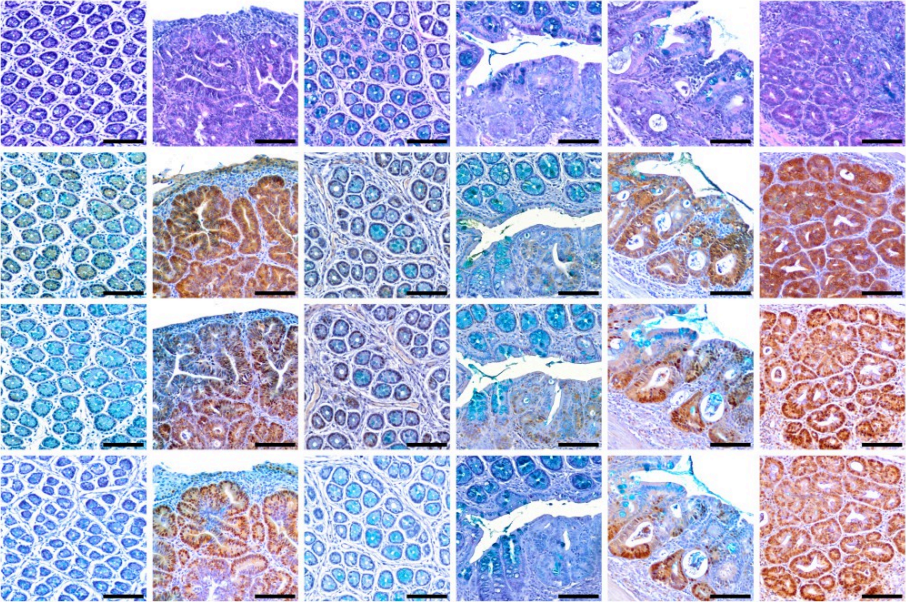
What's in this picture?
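This grid shows colon mucosa cut across its crypts. In some columns the crypts are round, evenly spaced and regular. Each has a central lumen and many pale blue mucin-filled goblet cells, with little or no brown stain. In other columns the crypts are crowded, irregular, elongated and branched, so the crypt architecture is distorted. There are fewer goblet cells there, and the epithelial nuclei are crowded and enlarged, giving a high nucleus-to-cytoplasm ratio. In one row the brown colour lies in both cytoplasm and nuclei; in the others it is mainly nuclear.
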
